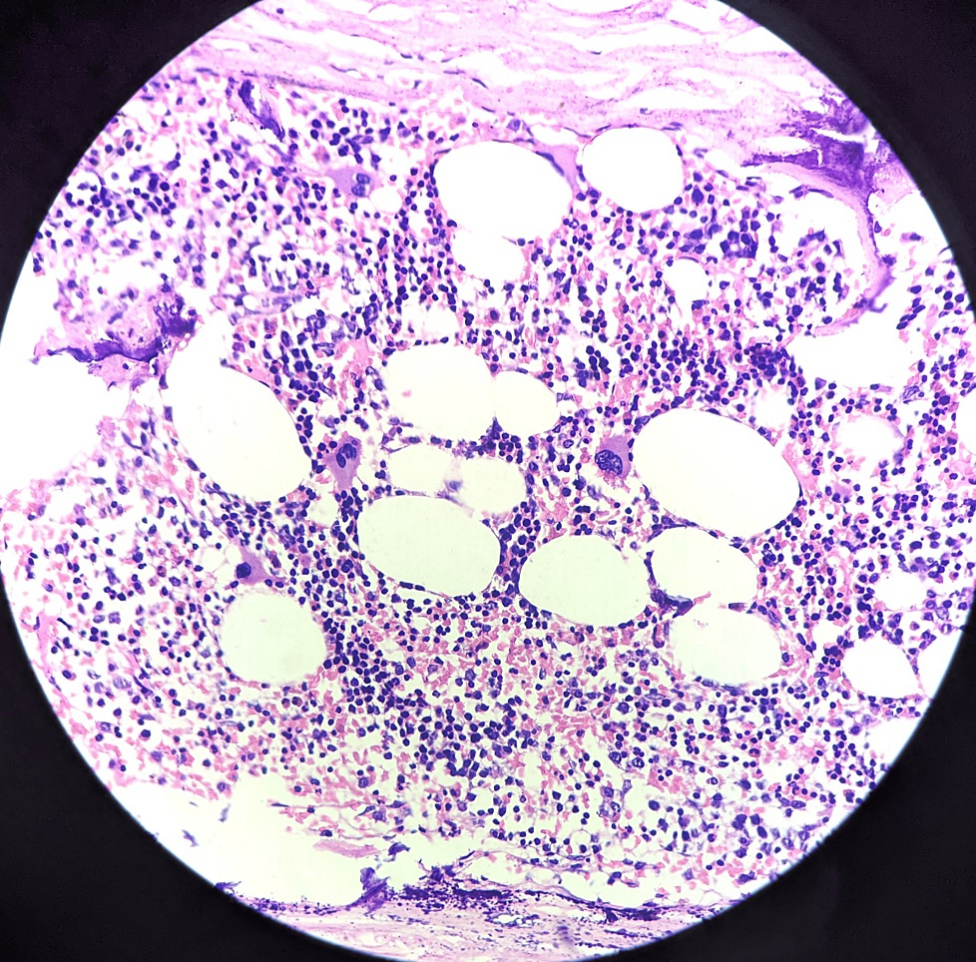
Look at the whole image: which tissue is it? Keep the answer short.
Bone marrow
